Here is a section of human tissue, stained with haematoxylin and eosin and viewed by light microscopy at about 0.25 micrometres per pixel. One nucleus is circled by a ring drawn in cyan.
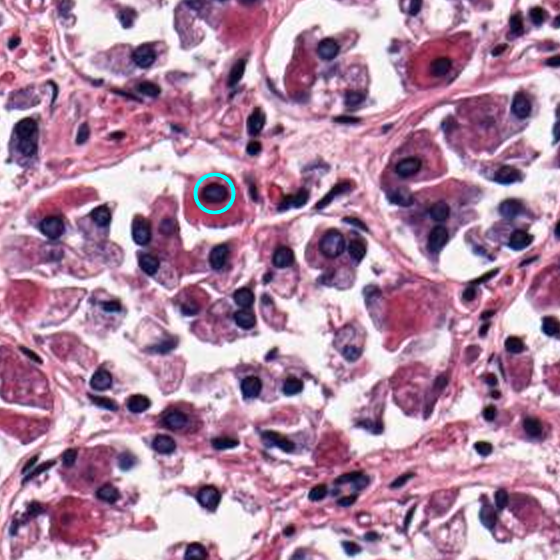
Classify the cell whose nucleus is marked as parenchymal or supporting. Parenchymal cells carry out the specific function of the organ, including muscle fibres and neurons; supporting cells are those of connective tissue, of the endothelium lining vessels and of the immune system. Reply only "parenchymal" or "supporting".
parenchymal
